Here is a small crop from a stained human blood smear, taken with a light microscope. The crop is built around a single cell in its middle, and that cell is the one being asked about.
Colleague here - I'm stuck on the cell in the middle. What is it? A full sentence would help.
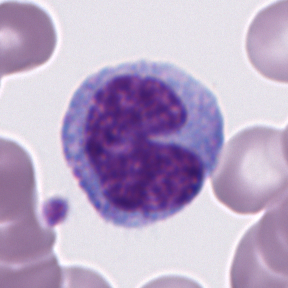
The cell that lies at the centre of the crop is a monocyte.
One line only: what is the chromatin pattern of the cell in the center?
Coarse clumps are absent, and the chromatin is fine throughout.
